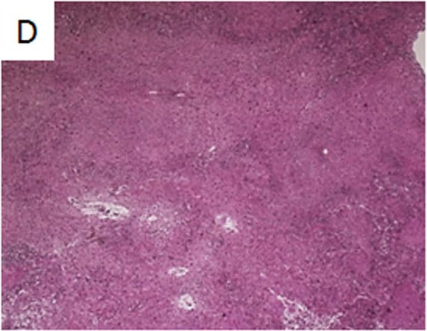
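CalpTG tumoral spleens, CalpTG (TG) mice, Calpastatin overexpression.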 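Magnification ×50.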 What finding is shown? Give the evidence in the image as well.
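White pulp could not be differentiated from red pulp. No distinct rounded follicles are visible.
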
